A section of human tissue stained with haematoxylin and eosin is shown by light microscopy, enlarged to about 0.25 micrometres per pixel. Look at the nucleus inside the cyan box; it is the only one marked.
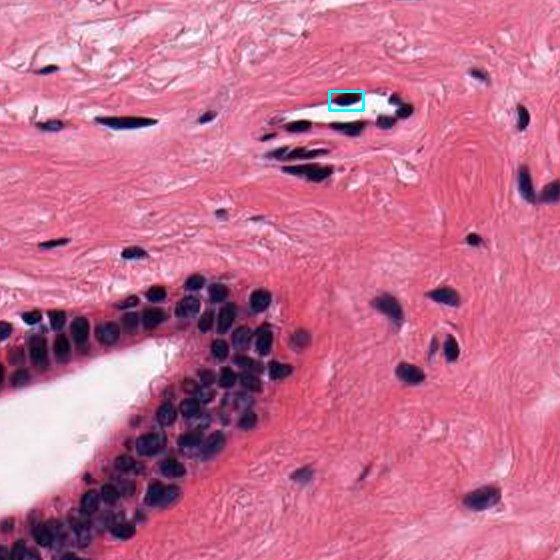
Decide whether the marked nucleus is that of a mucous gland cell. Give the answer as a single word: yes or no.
no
